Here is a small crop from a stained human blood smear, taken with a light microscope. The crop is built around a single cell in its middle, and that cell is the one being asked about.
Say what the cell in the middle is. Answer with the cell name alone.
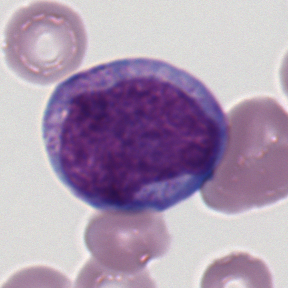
atypical promyelocyte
